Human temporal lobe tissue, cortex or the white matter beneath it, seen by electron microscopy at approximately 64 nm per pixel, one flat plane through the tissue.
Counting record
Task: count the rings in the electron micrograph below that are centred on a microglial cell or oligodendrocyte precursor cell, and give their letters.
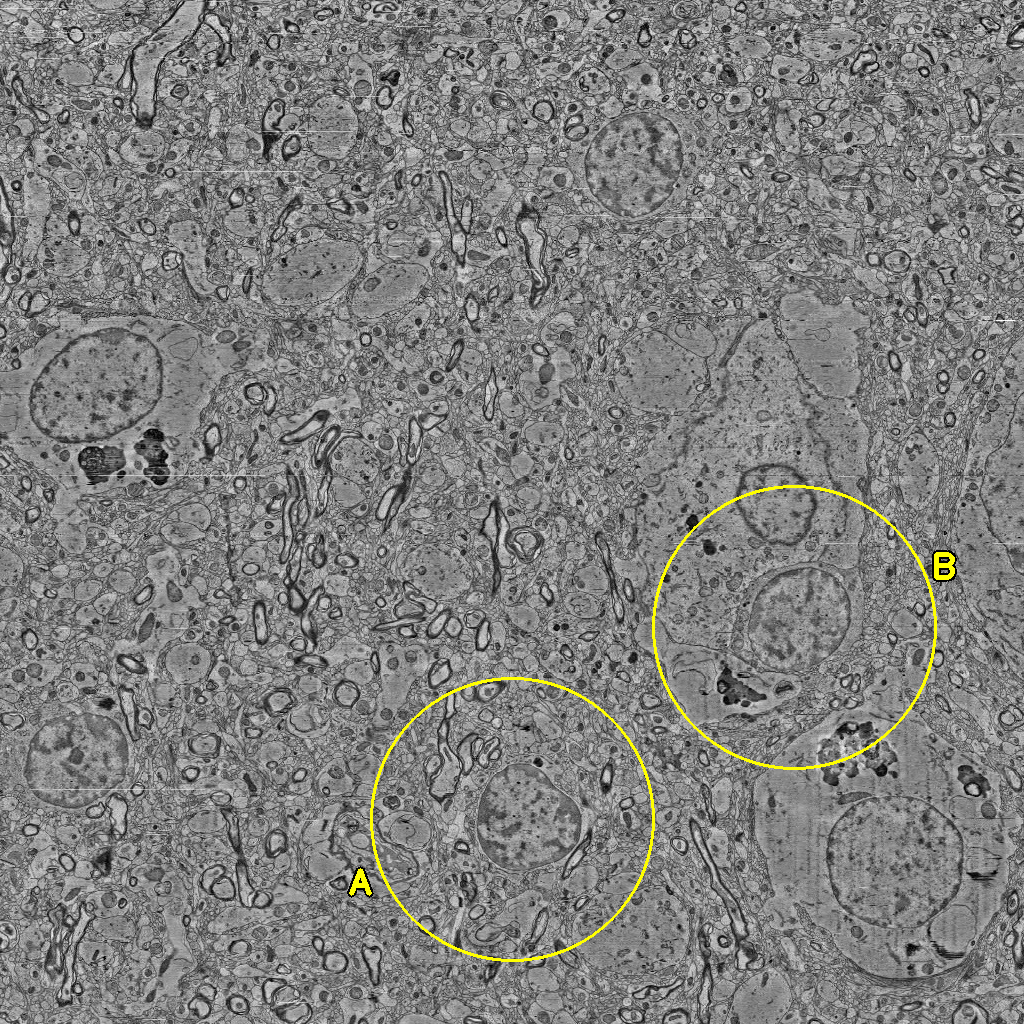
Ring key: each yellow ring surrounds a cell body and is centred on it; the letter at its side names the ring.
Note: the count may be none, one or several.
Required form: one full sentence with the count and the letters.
A single yellow ring is centred on a microglial cell or oligodendrocyte precursor cell, and that ring has the letter A.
